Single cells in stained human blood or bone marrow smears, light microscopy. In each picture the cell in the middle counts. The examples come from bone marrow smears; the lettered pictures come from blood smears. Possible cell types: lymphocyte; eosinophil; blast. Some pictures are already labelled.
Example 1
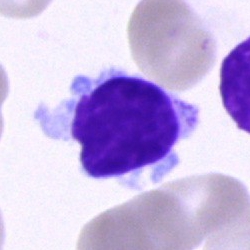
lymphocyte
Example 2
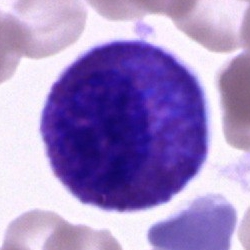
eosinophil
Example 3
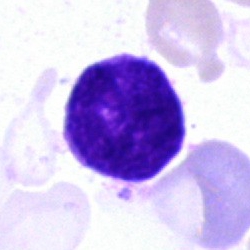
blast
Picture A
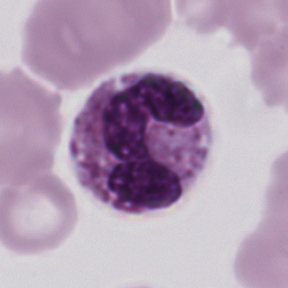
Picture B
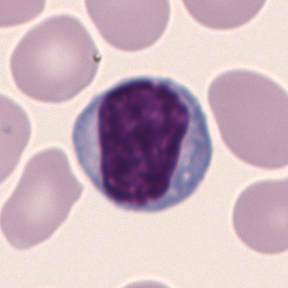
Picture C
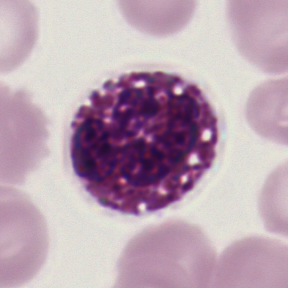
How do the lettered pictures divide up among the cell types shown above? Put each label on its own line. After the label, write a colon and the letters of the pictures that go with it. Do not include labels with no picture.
lymphocyte: B
eosinophil: A, C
